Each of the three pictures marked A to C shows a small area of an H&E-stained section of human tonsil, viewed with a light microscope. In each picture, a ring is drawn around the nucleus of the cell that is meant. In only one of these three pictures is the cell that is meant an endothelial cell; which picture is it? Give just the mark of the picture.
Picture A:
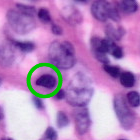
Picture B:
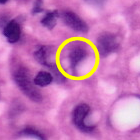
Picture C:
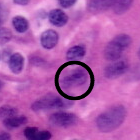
A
